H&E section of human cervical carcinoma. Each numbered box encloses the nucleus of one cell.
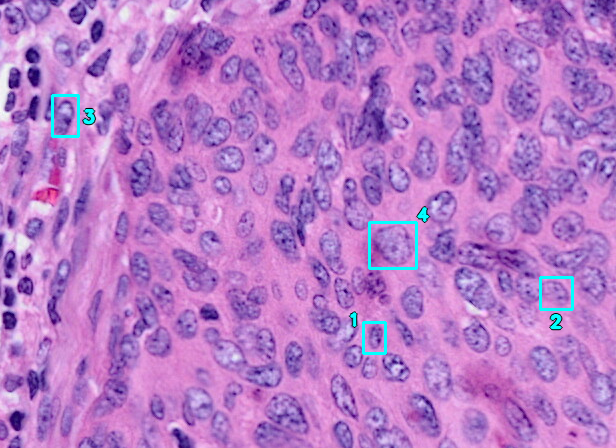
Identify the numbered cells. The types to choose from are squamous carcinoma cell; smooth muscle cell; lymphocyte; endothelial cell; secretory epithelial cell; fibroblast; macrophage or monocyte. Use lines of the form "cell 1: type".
cell 1: squamous carcinoma cell
cell 2: squamous carcinoma cell
cell 3: endothelial cell
cell 4: squamous carcinoma cell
